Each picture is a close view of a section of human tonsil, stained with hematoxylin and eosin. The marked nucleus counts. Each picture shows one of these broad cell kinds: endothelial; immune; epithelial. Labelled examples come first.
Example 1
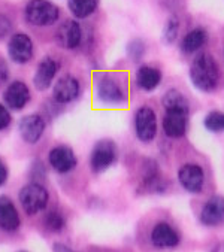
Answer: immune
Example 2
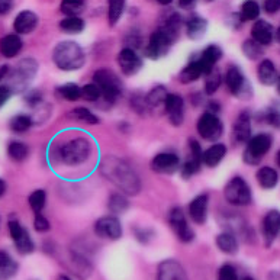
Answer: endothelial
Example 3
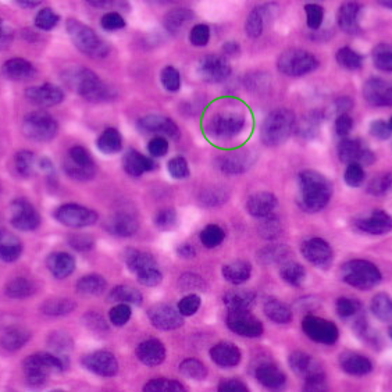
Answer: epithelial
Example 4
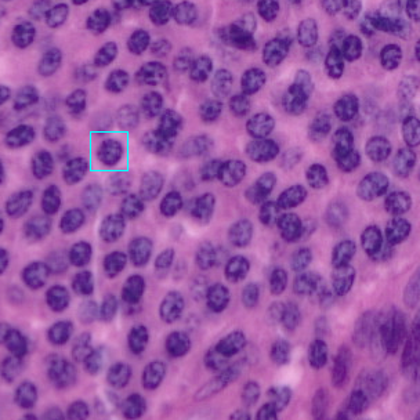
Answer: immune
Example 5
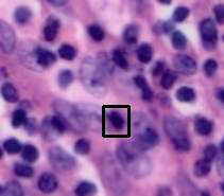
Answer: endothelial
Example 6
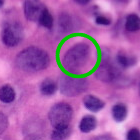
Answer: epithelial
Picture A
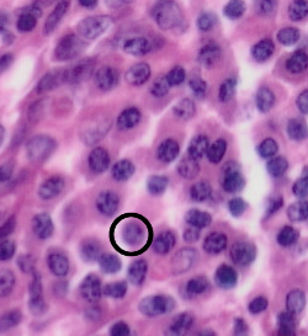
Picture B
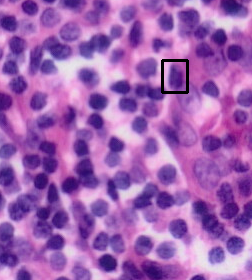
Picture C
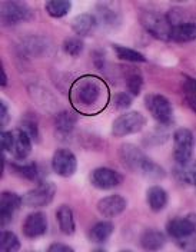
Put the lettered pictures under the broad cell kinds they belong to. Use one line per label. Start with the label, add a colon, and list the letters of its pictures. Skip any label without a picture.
endothelial: B, C
immune: A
